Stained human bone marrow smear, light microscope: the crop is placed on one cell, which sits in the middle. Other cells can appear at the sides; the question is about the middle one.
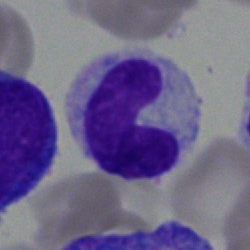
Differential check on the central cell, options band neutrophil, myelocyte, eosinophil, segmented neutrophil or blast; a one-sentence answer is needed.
Whatever else lies nearby, the middle cell is a band neutrophil.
